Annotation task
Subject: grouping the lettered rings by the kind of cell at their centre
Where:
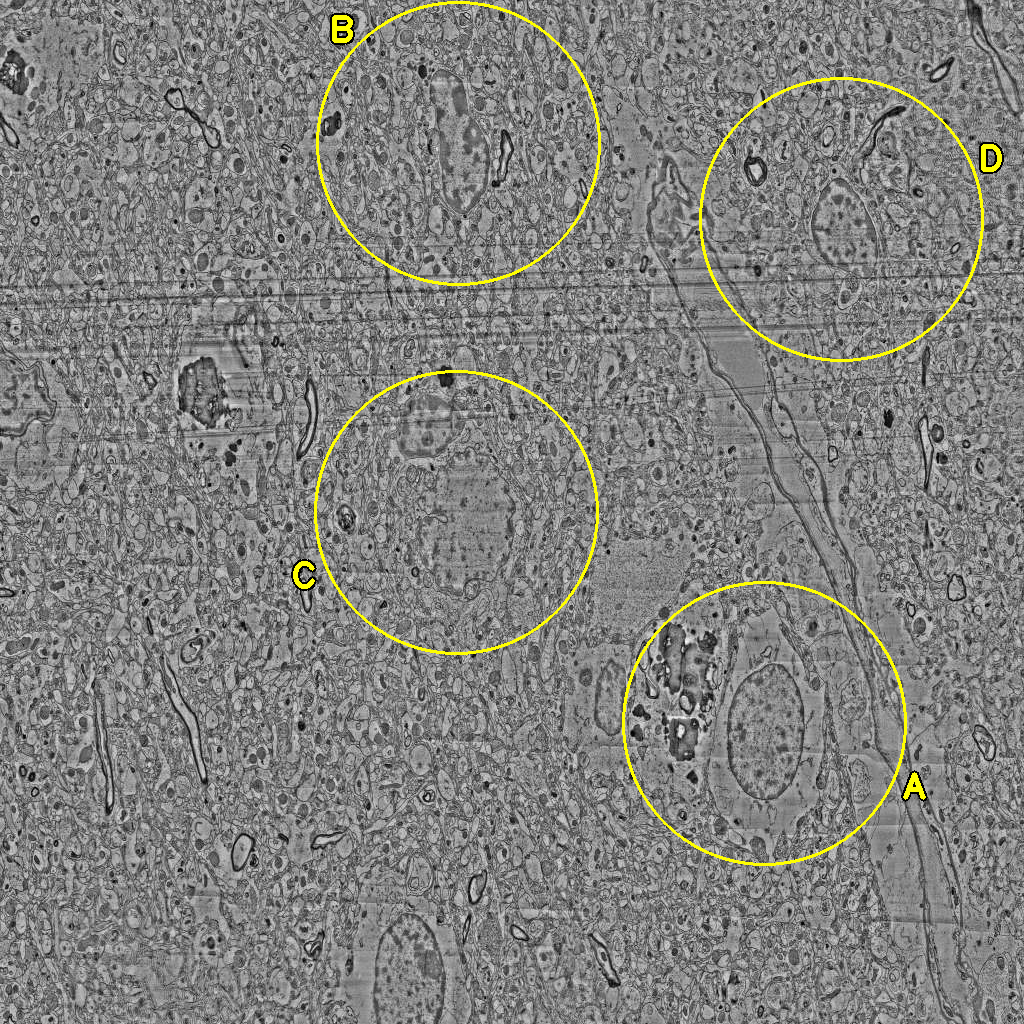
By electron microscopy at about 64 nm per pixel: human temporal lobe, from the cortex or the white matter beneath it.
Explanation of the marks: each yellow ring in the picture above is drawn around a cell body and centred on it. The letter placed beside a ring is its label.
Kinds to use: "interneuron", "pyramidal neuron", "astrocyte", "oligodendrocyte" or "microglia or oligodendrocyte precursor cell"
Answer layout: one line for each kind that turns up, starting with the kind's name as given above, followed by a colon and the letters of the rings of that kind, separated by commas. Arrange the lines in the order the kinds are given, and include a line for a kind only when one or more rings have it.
interneuron: C
astrocyte: A
microglia or oligodendrocyte precursor cell: B, D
